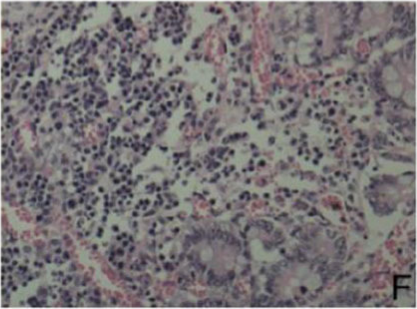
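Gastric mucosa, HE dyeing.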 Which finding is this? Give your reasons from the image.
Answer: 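Inflammatory cell infiltration. Dense sheets of small round cells with dark nuclei fill the space between glands. Glands at the lower right are separated by this cellular infiltrate.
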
